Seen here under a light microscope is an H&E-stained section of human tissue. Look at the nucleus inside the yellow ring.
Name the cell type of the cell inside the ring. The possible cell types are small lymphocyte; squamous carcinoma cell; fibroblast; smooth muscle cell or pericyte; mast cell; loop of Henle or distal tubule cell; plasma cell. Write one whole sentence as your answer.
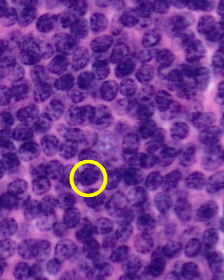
In terms of identity, the cell inside the ring is a small lymphocyte.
